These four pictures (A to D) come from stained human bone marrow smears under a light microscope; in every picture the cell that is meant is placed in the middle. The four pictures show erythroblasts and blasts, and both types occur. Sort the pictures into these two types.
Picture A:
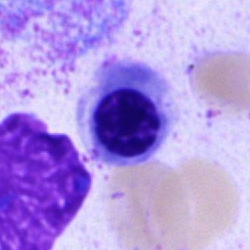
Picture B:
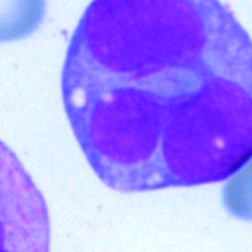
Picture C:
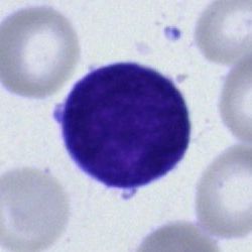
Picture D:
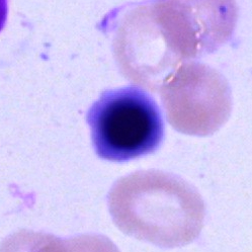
A: erythroblast
B: blast
C: blast
D: erythroblast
